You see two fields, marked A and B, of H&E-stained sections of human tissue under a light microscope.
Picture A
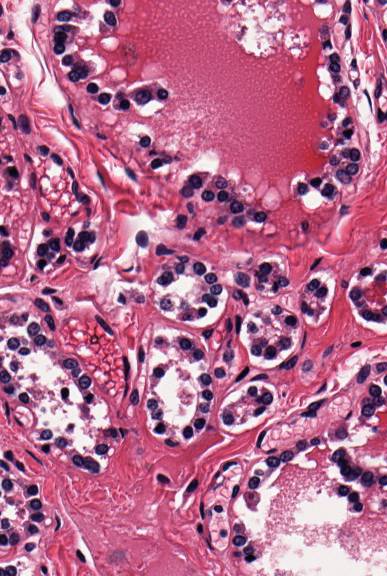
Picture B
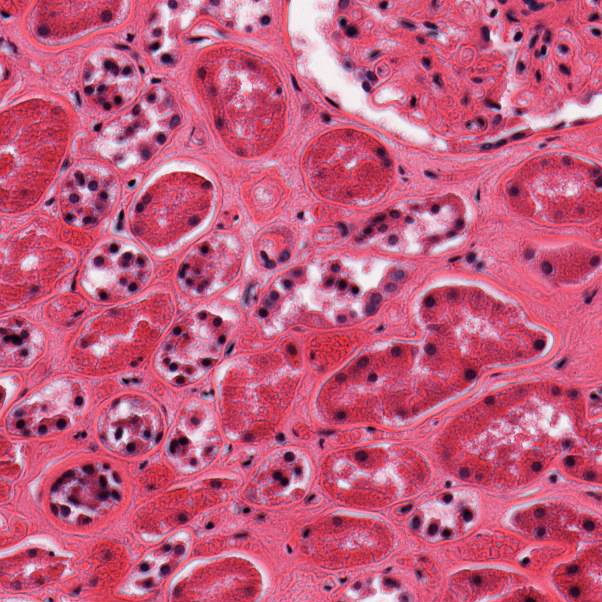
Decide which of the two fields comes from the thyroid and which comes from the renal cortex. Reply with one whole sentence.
Picture B comes from the renal cortex, while picture A comes from the thyroid.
